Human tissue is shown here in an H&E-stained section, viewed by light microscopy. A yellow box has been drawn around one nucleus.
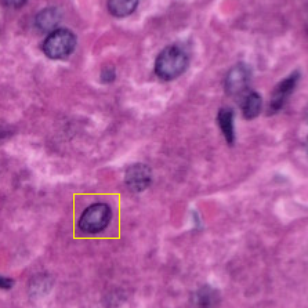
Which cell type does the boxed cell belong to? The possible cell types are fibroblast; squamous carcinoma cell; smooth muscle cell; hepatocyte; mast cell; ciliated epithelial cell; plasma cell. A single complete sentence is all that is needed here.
In this section of tissue, the boxed cell is a hepatocyte.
